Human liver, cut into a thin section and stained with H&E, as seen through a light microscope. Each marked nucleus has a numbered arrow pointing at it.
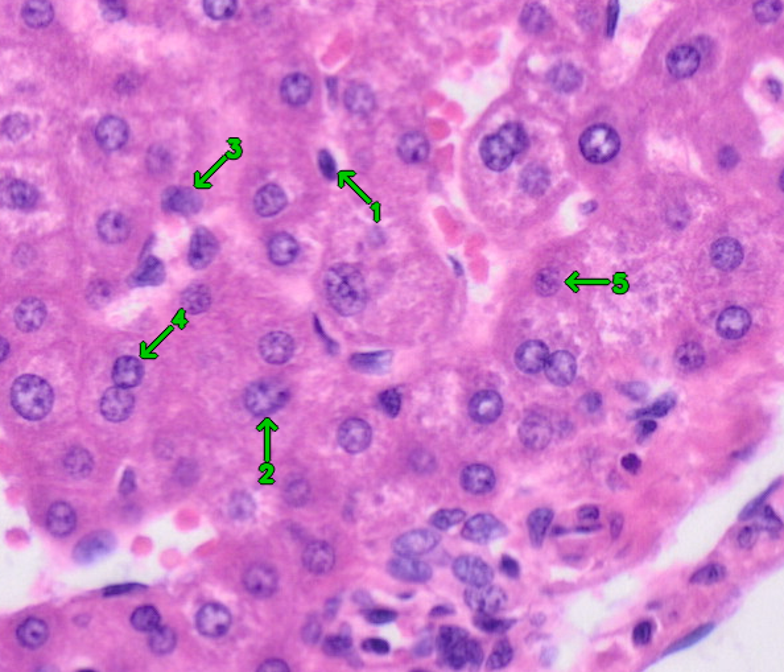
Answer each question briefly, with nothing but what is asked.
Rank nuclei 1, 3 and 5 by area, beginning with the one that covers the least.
1, 5, 3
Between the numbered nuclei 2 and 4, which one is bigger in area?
2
